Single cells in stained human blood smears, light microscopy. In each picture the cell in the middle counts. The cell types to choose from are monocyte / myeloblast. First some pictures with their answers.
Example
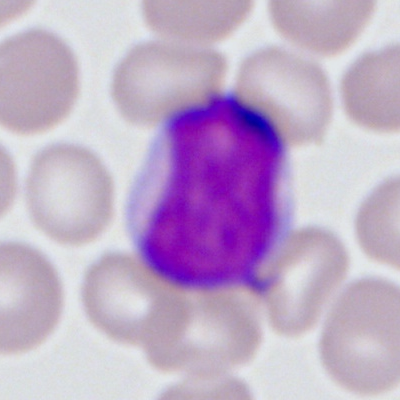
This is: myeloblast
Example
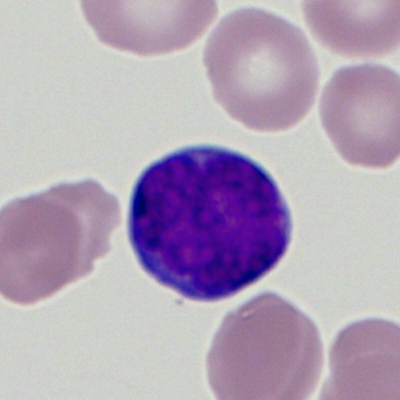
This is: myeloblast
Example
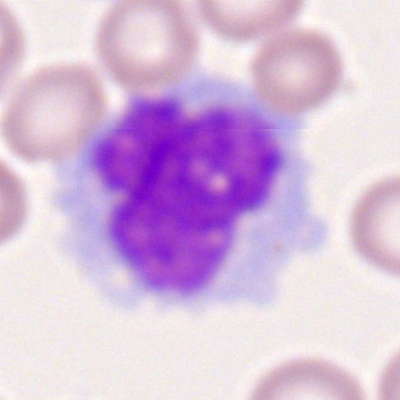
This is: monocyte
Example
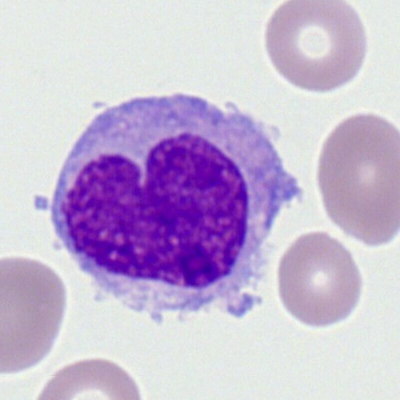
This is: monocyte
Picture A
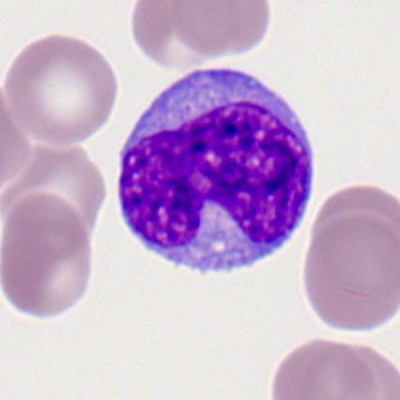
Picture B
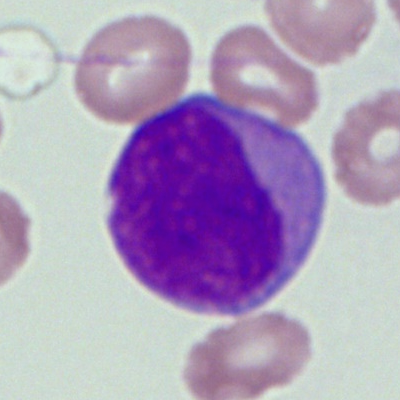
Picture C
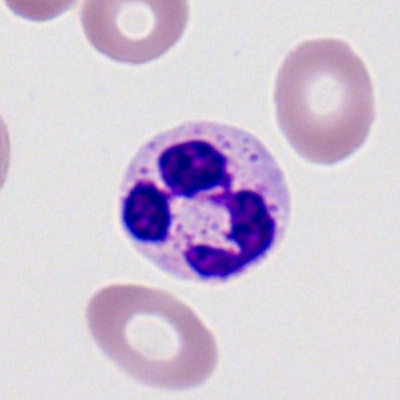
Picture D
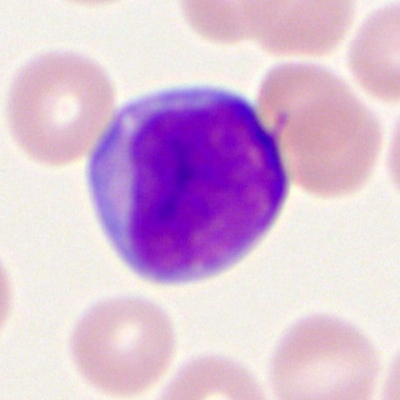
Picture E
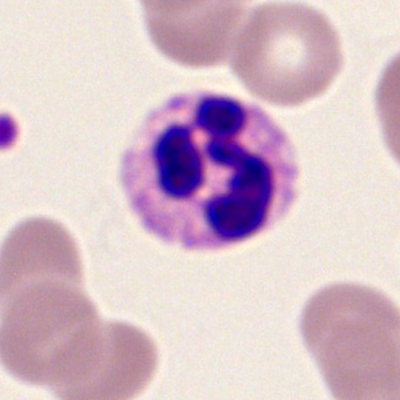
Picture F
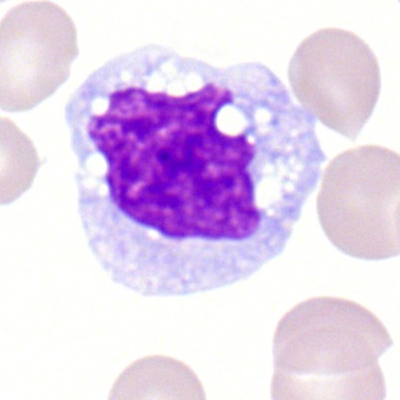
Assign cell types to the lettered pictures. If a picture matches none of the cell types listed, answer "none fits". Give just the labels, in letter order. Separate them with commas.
monocyte, myeloblast, none fits, myeloblast, none fits, monocyte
